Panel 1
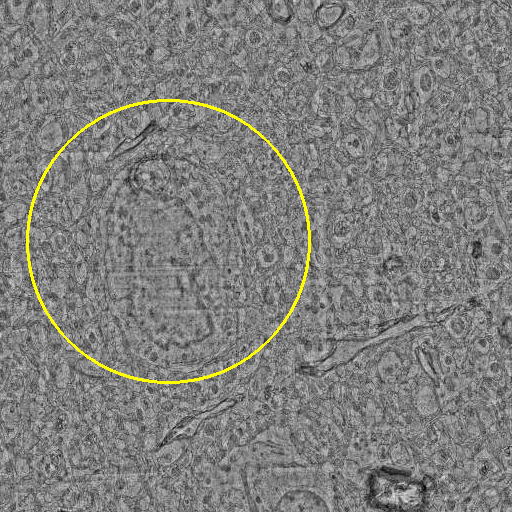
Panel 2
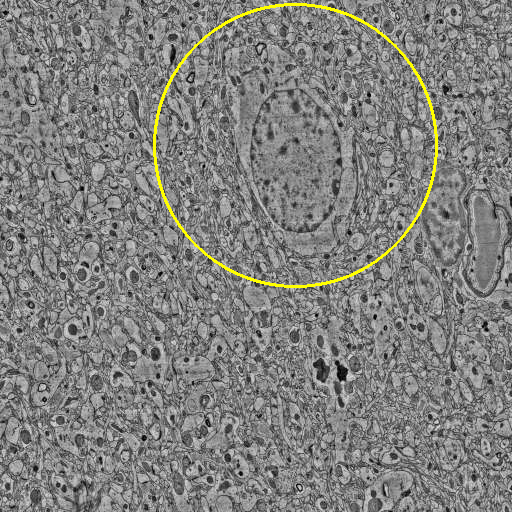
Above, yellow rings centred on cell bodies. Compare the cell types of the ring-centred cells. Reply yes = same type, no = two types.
no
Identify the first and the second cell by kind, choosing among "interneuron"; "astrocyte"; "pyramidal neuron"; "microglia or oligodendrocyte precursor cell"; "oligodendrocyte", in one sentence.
The one in the first picture is an interneuron, while the one in the second is an astrocyte.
